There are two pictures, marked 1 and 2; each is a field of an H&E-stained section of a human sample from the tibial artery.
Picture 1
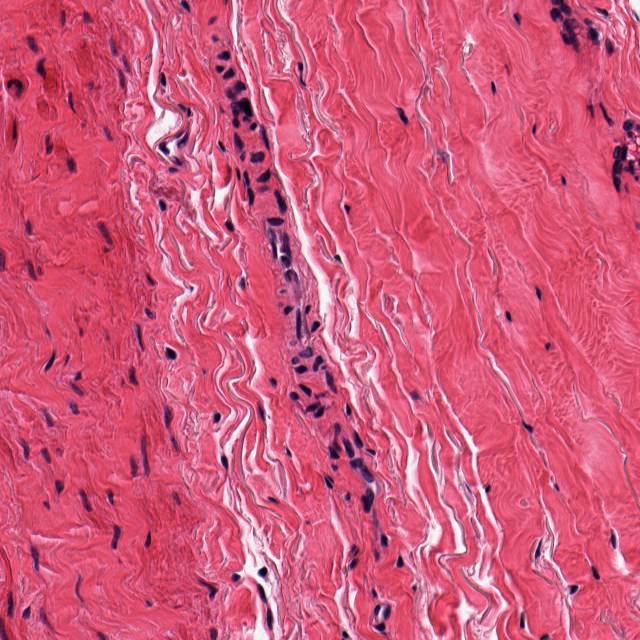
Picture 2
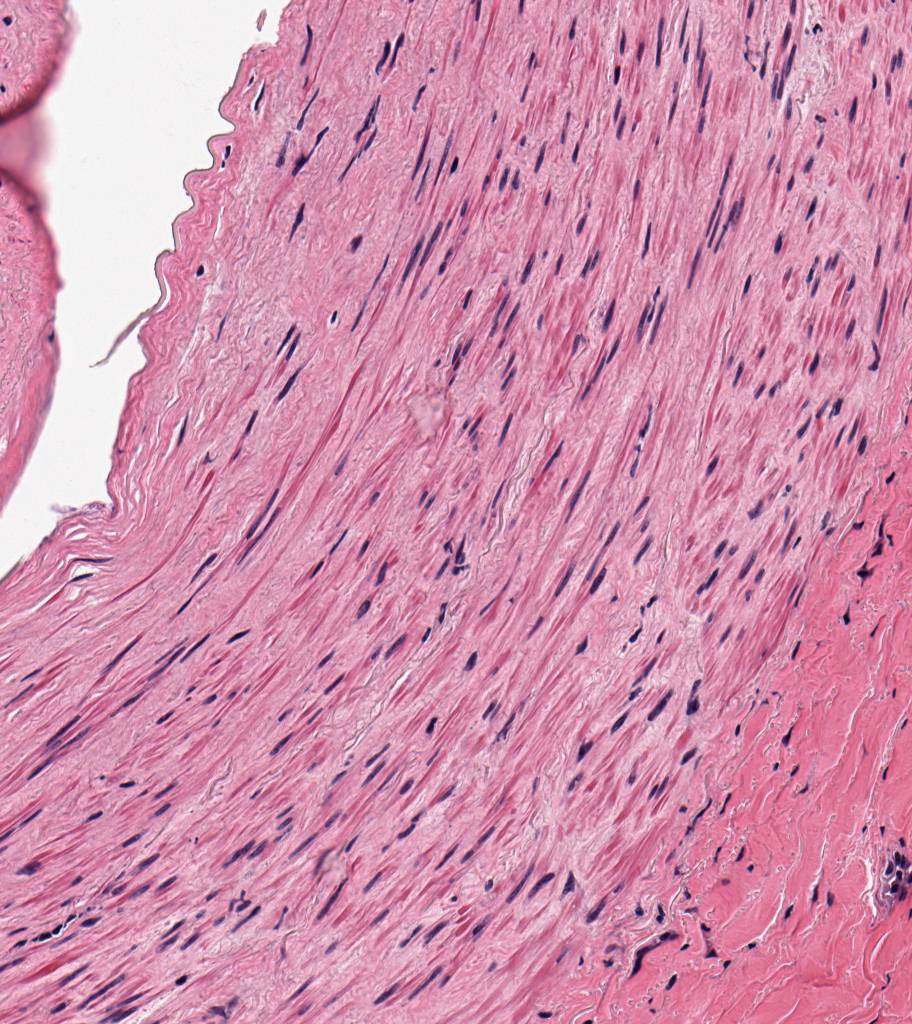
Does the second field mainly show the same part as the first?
no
